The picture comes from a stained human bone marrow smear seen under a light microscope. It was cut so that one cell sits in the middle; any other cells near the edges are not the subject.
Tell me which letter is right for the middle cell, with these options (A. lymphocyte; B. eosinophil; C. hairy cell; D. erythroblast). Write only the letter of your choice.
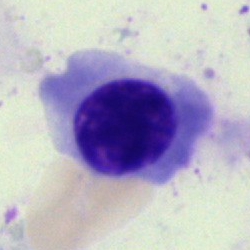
D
